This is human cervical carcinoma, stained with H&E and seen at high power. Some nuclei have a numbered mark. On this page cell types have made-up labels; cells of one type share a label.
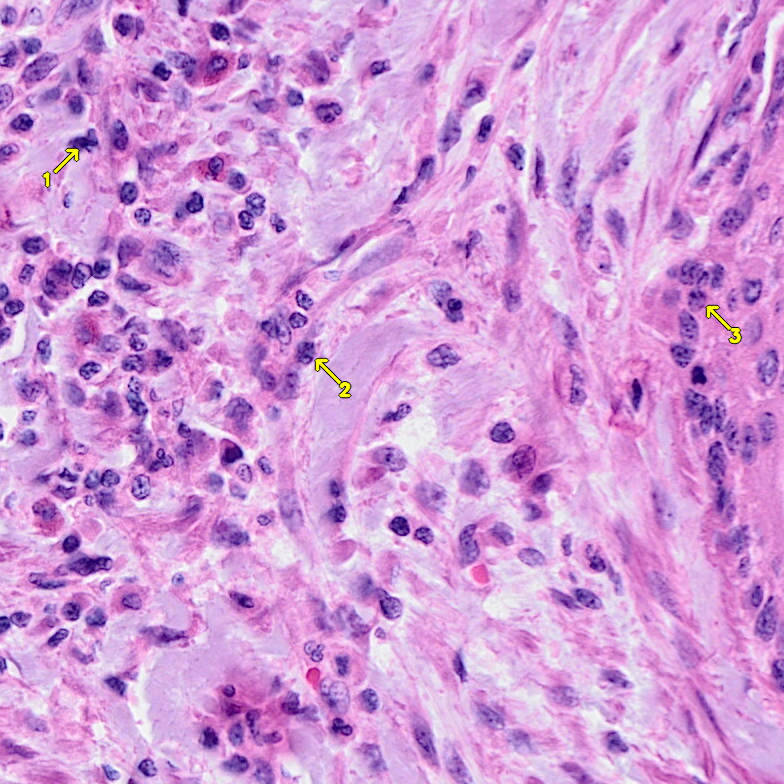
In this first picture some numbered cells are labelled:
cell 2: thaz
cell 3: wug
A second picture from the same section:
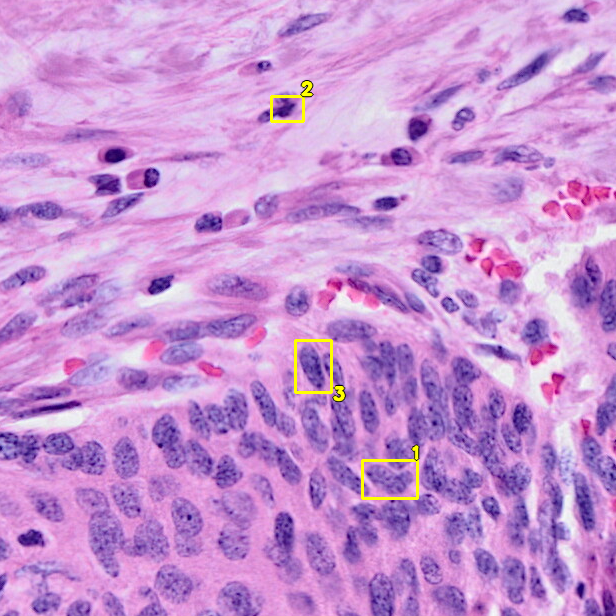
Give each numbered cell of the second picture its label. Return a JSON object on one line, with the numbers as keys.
{"1": "wug", "2": "thaz", "3": "wug"}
